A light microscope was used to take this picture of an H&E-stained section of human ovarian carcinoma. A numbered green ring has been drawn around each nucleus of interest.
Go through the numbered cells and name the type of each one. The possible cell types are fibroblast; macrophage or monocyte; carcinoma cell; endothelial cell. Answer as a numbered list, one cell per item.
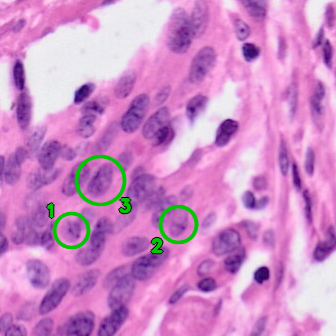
1. macrophage or monocyte
2. carcinoma cell
3. carcinoma cell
